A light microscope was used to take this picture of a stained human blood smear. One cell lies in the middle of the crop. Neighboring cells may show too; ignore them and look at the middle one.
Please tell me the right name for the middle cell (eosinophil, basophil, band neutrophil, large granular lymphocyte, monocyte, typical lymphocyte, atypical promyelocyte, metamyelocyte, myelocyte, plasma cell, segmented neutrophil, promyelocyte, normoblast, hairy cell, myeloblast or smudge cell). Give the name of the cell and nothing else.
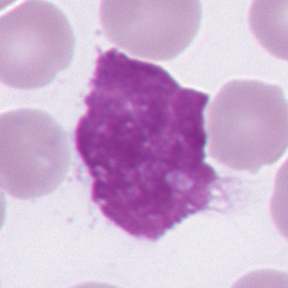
smudge cell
